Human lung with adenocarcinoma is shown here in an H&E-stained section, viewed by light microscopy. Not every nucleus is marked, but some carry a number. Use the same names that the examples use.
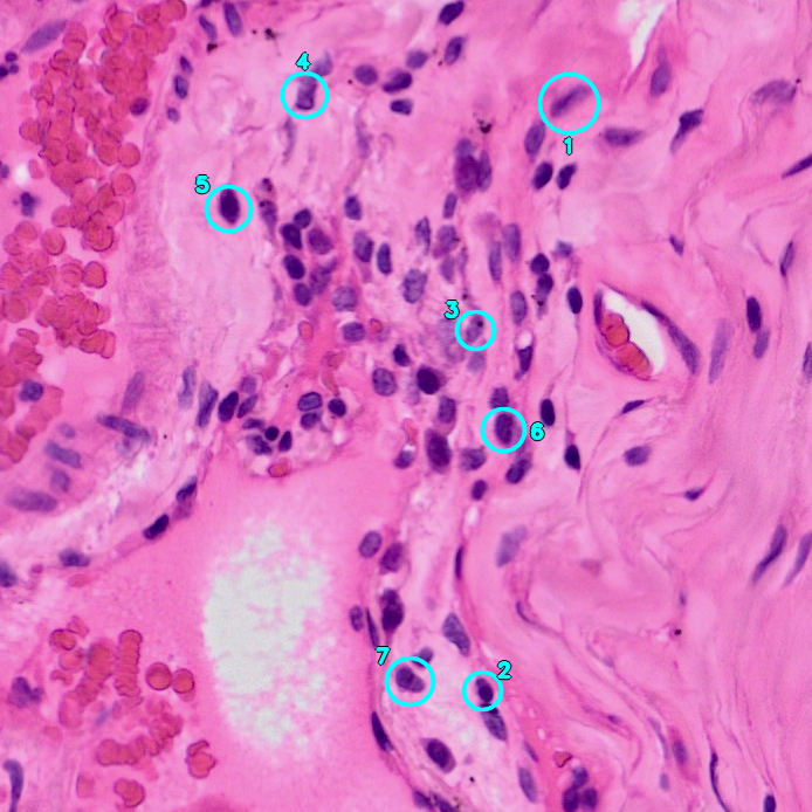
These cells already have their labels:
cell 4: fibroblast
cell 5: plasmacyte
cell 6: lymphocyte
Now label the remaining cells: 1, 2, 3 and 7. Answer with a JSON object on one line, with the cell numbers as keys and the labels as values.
{"1": "fibroblast", "2": "lymphocyte", "3": "plasmacyte", "7": "lymphocyte"}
